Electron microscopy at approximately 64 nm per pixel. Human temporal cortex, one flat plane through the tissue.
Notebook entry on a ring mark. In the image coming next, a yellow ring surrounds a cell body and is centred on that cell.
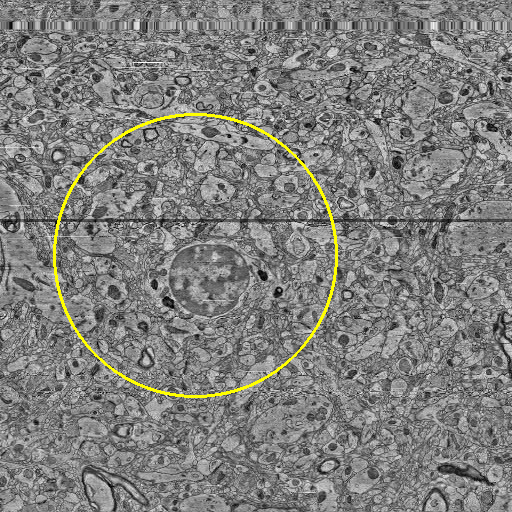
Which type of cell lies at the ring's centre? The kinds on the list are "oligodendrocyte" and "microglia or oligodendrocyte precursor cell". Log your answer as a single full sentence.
Centred in the yellow ring is a microglial cell or oligodendrocyte precursor cell, the cell recorded for this image.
